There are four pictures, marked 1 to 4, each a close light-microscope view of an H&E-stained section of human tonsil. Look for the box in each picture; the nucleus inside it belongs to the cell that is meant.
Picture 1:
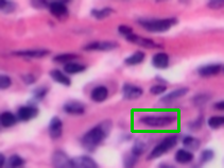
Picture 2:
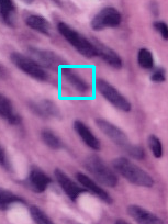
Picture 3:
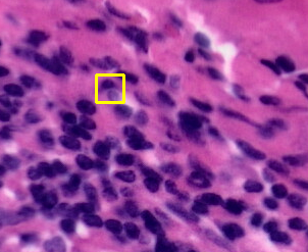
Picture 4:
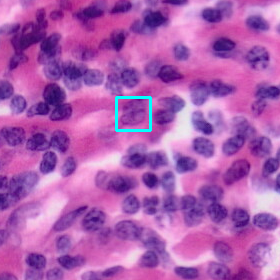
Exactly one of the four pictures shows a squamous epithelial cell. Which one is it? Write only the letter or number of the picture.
2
